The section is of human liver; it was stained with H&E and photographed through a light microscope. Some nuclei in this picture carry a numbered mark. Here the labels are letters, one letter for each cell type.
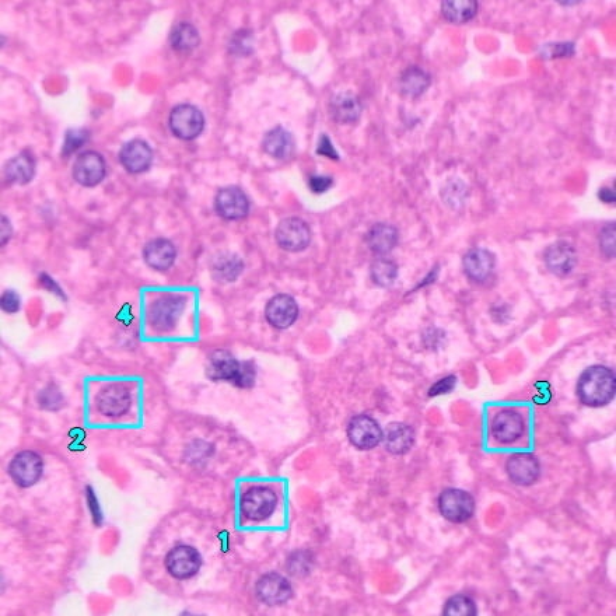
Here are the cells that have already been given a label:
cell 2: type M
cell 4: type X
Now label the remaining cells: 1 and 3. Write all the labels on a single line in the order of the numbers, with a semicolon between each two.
type M; type M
